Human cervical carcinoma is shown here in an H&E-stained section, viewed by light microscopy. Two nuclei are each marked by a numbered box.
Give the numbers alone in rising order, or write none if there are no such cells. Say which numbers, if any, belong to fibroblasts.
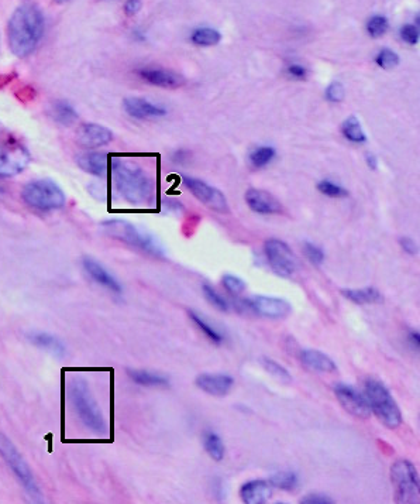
1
